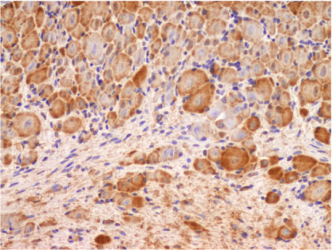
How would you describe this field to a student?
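This is a section of a sensory ganglion in which clusters of large, round cell bodies are stained brown in their cytoplasm. The cell bodies vary in size and intensity, some deep brown and others paler, and several show a pale central nucleus. Between the clusters runs paler fibrous tissue containing many small, elongated blue nuclei. The brown stain is mostly cytoplasmic and fills the cell bodies fairly evenly.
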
